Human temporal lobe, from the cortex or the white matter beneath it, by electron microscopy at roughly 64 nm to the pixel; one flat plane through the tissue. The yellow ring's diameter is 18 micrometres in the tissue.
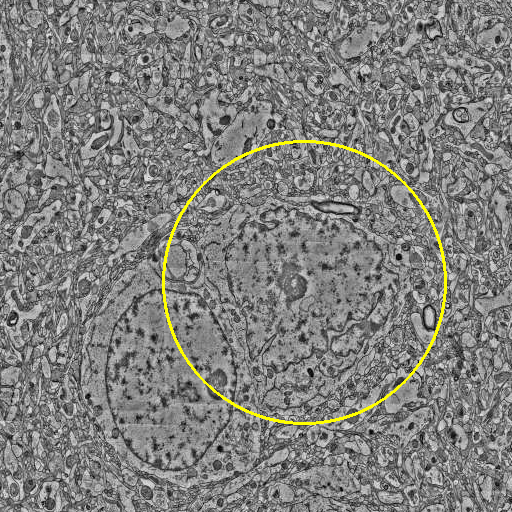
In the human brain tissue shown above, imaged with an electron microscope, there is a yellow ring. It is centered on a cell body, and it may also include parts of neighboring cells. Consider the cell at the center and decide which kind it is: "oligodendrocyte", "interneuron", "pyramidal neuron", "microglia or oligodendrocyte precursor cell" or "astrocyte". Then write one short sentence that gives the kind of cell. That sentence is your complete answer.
This centered cell body is that of an interneuron.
